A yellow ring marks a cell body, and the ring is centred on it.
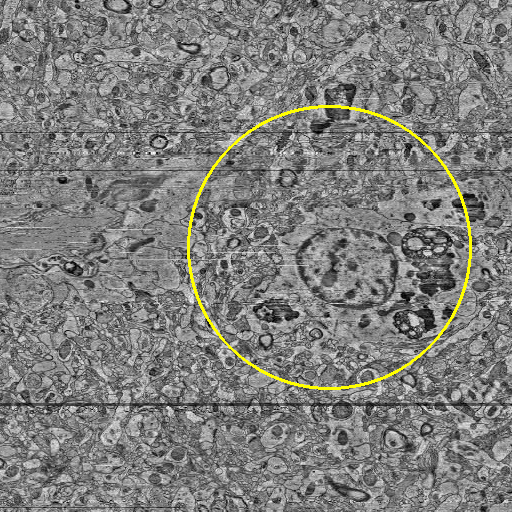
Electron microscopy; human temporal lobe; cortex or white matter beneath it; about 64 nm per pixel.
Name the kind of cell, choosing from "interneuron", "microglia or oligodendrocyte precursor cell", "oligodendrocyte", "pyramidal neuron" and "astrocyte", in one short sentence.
The marked cell body belongs to an astrocyte.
